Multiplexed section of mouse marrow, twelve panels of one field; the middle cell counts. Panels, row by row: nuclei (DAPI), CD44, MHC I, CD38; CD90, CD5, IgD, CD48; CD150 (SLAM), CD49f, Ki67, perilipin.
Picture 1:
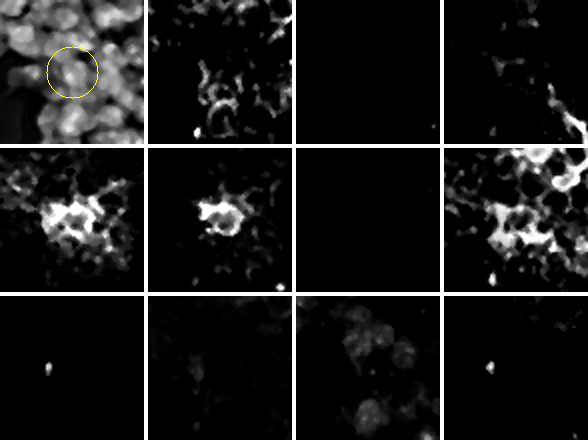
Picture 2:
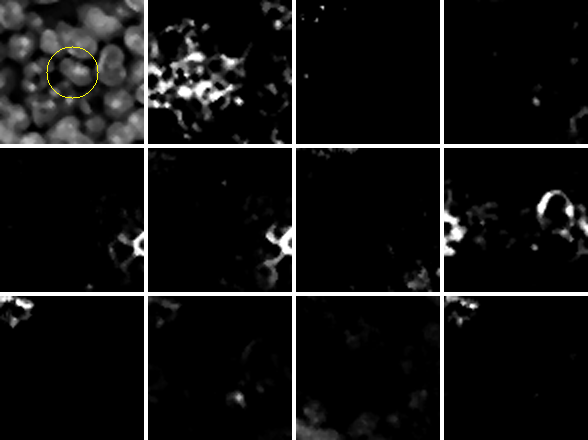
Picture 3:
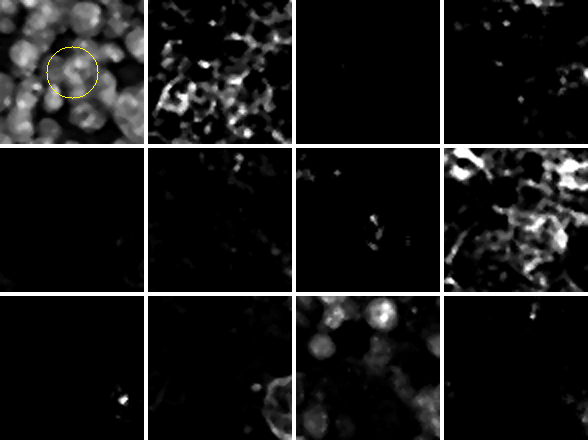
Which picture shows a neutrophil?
Picture 2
